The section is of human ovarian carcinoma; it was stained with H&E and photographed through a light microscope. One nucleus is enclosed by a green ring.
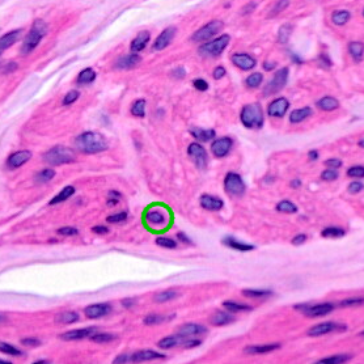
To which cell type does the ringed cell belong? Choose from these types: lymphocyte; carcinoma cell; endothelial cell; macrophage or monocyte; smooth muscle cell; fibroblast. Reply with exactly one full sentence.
The identity of the ringed cell is that of a smooth muscle cell.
